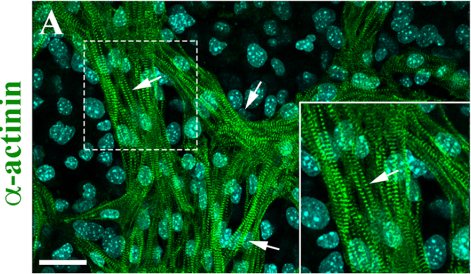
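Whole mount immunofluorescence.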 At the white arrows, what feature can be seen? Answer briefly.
Correct sarcomere striated pattern.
